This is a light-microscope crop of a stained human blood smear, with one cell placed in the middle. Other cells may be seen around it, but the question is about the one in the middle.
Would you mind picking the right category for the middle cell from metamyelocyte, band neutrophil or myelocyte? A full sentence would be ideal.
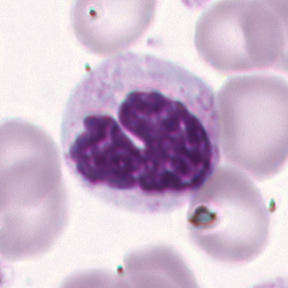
Classification of the middle cell gives a band neutrophil.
